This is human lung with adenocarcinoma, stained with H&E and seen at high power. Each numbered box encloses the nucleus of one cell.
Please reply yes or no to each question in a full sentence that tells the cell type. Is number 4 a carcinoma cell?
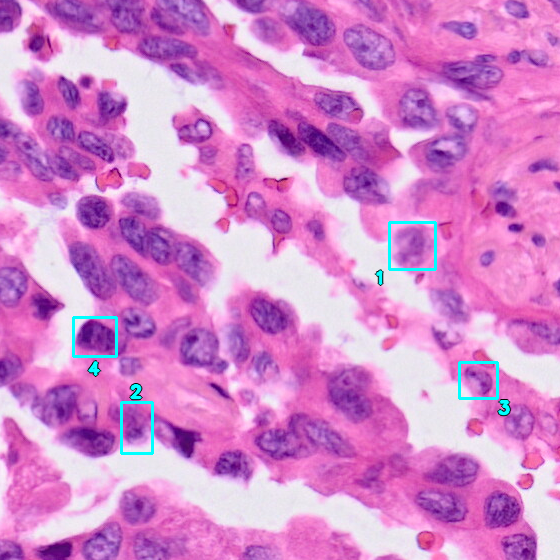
Yes, the cell with the number 4 is a carcinoma cell.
